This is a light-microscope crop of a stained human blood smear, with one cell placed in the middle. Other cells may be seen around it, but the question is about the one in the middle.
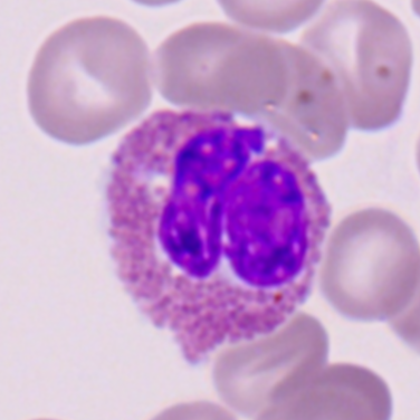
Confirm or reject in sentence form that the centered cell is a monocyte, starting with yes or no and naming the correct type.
No, that is not a monocyte; the middle cell is an eosinophil.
